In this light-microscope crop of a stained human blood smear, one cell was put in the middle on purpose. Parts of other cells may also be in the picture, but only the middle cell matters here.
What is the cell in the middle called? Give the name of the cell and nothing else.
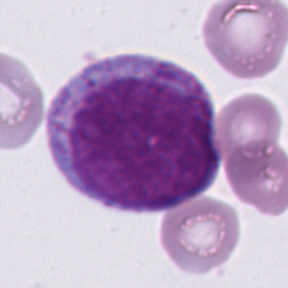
promyelocyte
